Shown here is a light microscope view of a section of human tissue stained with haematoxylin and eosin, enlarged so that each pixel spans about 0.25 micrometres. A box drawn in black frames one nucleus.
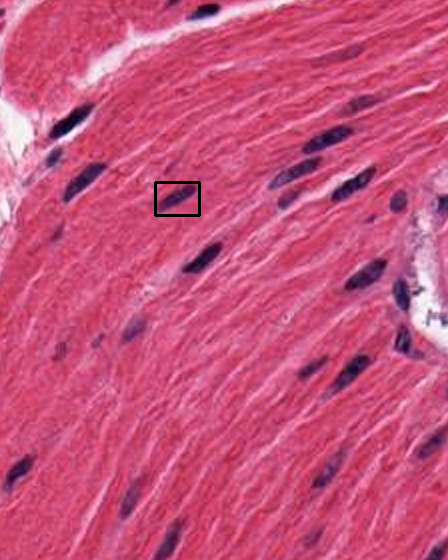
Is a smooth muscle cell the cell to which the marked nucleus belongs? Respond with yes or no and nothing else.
yes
